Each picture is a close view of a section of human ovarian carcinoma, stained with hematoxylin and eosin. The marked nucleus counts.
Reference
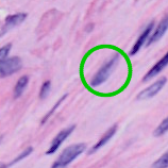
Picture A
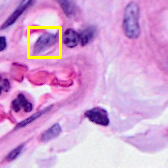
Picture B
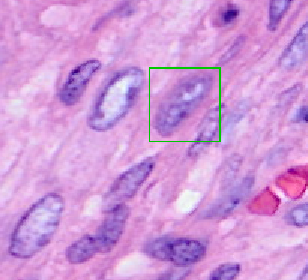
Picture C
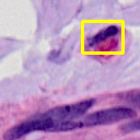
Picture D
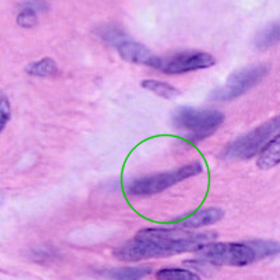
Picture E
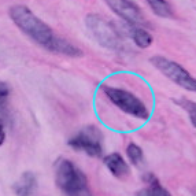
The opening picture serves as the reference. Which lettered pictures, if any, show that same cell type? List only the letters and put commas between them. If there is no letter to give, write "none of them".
D, E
